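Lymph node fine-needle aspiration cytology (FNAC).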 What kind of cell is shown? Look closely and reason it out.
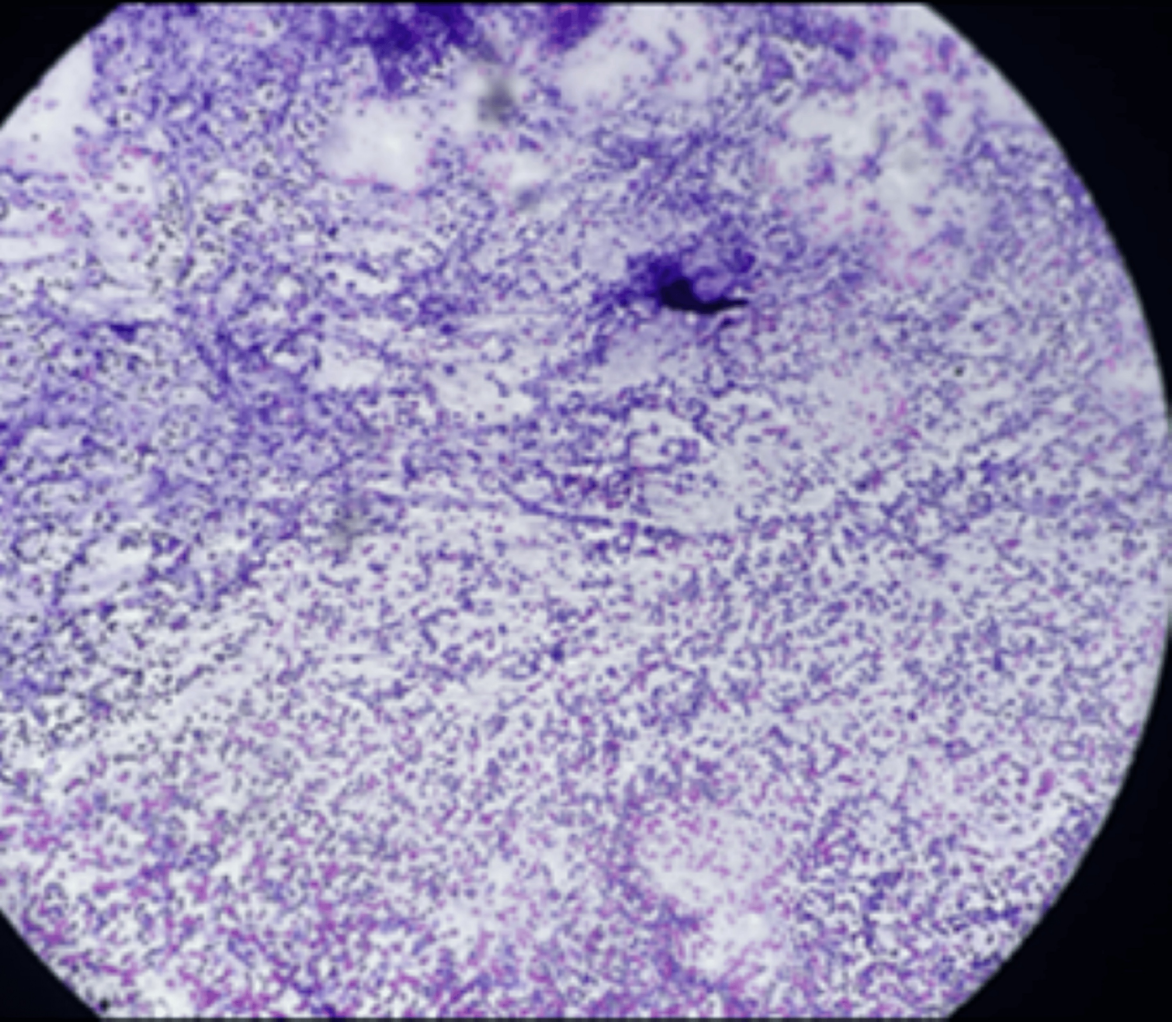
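The smear is crowded with innumerable small, round, dark-staining cells lying singly. The cells are dispersed rather than forming cohesive sheets or glands.
Hence: lymphocytes.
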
